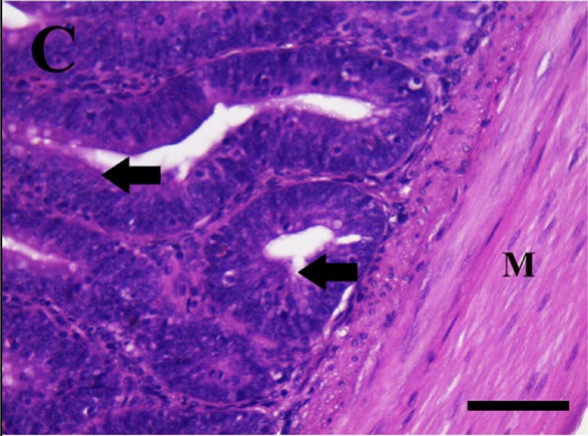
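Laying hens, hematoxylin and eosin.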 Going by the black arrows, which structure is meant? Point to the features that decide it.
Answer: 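Intestinal crypts. Glands with open lumens lined by tall columnar cells. Densely packed purple nuclei in the epithelial lining.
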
